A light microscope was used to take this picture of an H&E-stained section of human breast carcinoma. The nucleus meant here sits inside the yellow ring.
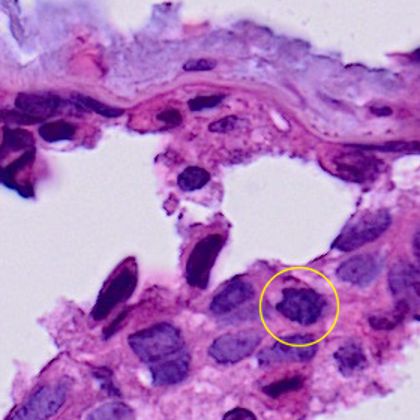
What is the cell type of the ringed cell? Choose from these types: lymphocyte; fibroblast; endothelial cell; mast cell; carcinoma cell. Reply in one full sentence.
In this field of tissue, the ringed cell is a carcinoma cell.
